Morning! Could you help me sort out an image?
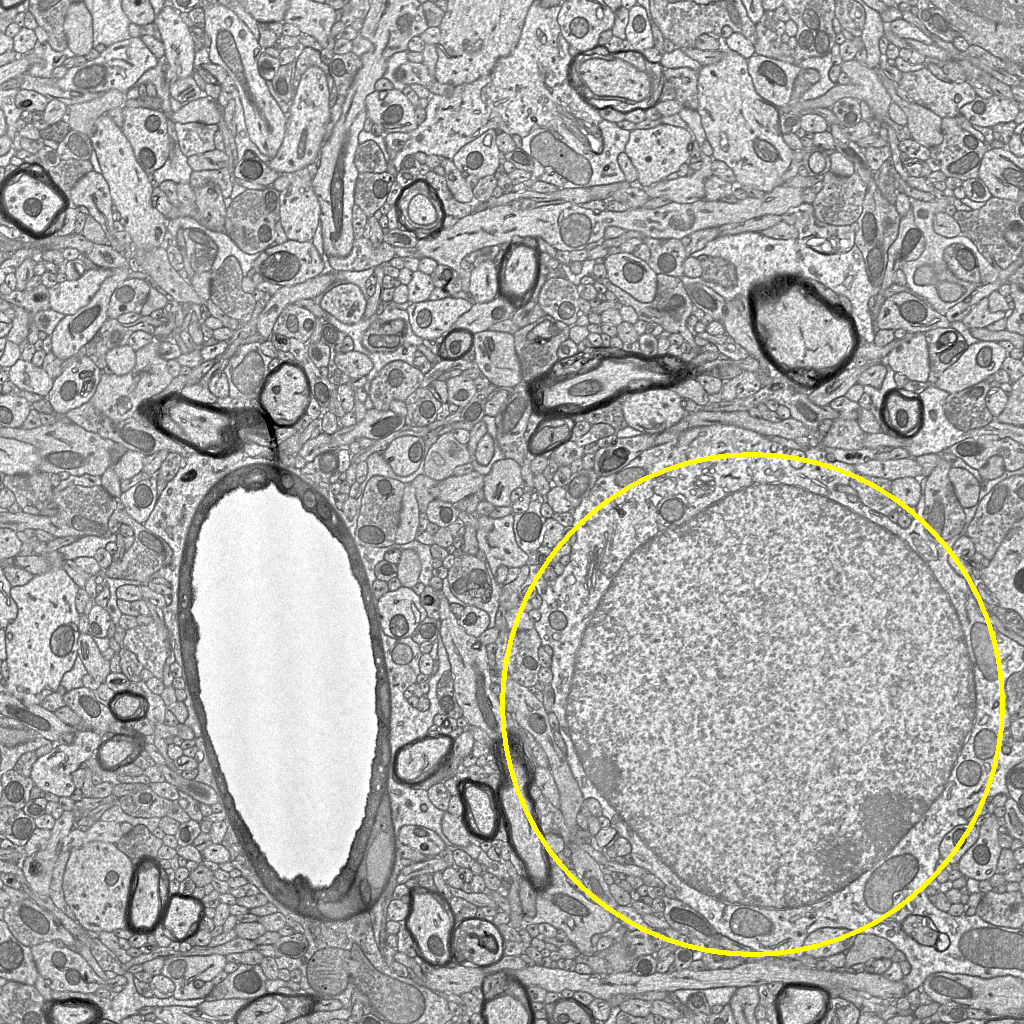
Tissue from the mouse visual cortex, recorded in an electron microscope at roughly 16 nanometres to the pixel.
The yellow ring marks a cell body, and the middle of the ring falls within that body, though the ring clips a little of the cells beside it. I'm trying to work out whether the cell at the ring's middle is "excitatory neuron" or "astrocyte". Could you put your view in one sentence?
The cell body at the ring's middle is that of an astrocyte.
